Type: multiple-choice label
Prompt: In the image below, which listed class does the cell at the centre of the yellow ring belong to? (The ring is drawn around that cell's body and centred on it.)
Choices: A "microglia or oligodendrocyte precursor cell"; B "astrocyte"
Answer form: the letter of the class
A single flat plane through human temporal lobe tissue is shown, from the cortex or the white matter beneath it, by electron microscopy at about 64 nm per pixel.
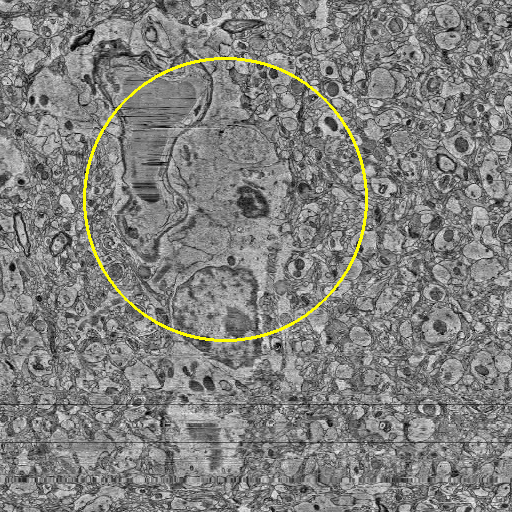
A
